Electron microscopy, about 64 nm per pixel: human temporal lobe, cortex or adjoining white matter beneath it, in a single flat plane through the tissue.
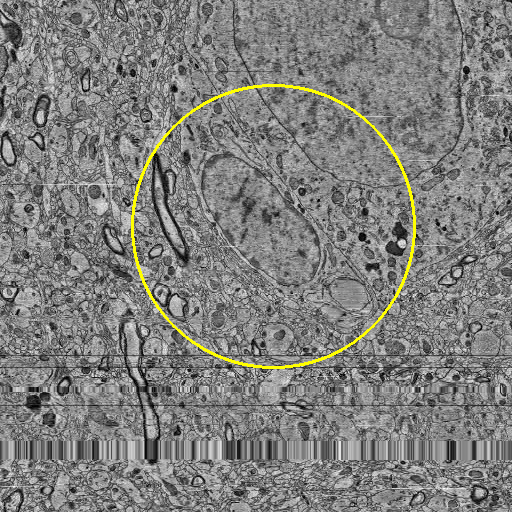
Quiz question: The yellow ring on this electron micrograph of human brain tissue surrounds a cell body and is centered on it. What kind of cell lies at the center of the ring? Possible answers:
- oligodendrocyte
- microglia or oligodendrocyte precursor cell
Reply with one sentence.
The ring's center lies on a microglial cell or oligodendrocyte precursor cell.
